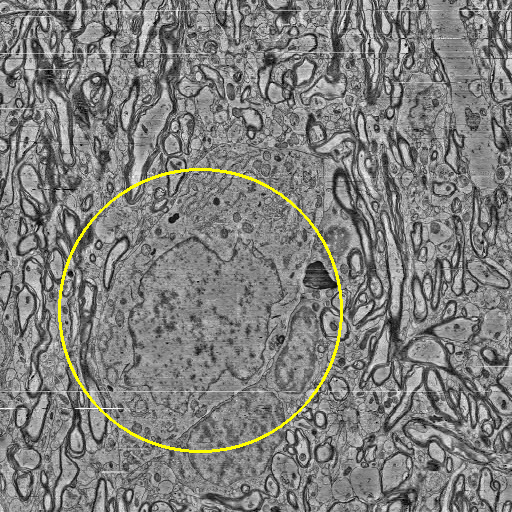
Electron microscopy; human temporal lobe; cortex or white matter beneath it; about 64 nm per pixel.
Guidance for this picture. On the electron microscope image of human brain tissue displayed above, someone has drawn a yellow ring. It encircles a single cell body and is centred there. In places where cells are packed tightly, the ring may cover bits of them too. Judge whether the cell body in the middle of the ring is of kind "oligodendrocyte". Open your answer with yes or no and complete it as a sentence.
No, another kind matches the cell whose body lies at the ring's centre in the image above.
